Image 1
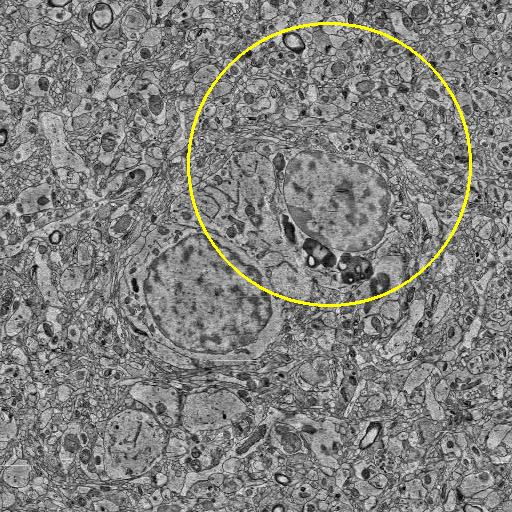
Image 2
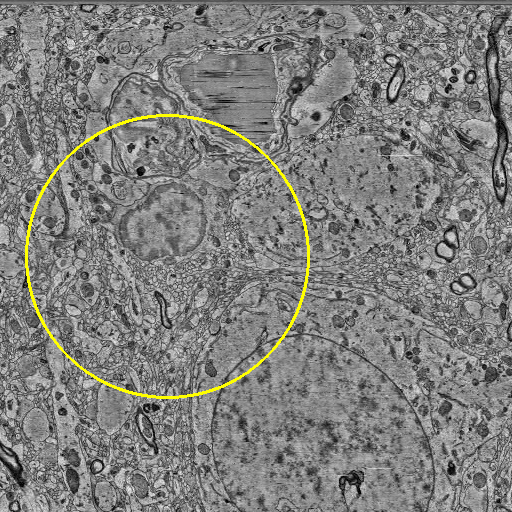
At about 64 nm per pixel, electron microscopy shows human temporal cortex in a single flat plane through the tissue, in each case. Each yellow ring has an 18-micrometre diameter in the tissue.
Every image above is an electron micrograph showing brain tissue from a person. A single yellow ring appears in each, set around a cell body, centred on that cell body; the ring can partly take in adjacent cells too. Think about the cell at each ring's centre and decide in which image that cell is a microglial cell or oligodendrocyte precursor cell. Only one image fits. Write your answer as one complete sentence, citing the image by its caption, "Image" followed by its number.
Image 1 is the one whose ringed central cell fits the description.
